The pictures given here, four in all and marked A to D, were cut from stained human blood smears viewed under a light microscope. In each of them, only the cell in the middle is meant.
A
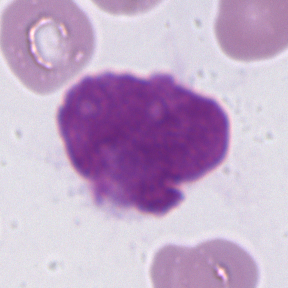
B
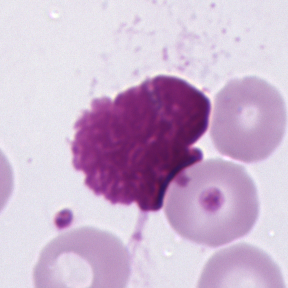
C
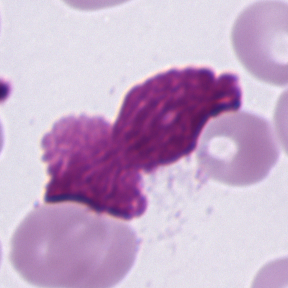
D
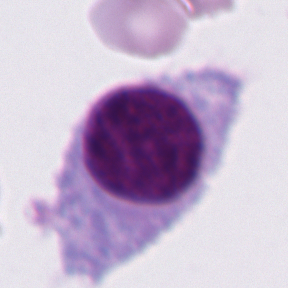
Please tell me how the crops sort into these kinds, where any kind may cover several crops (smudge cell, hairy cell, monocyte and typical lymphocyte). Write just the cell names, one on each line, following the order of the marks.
smudge cell
smudge cell
smudge cell
hairy cell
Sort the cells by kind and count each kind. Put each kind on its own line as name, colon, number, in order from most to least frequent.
smudge cell: 3
hairy cell: 1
